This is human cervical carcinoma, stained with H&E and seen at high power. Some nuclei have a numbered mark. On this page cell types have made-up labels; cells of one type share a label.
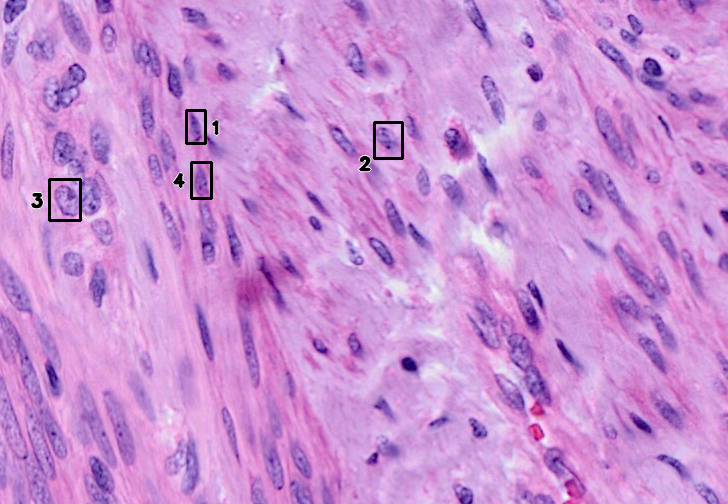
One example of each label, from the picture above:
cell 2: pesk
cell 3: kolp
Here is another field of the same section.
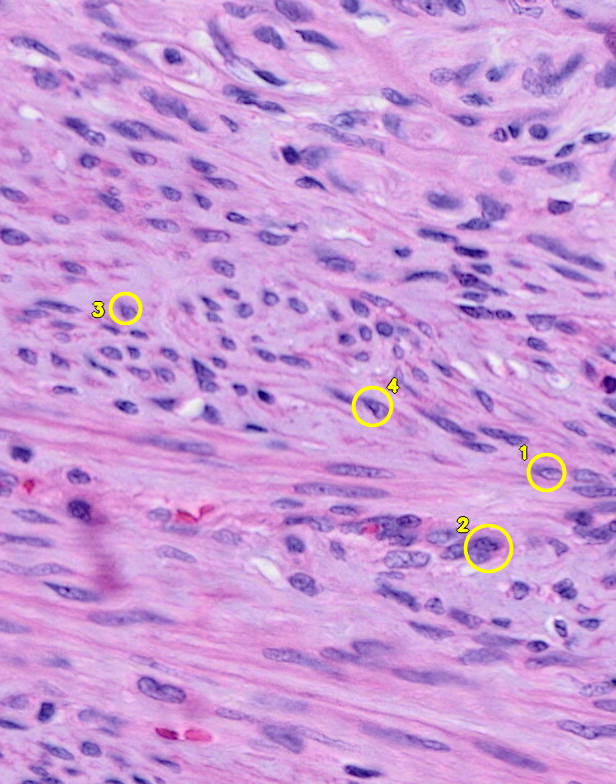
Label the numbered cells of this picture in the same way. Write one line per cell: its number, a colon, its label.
1: pesk
2: kolp
3: pesk
4: pesk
